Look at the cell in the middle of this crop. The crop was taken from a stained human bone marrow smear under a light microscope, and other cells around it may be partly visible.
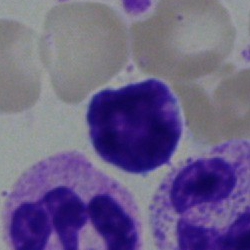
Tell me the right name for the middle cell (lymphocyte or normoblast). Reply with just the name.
lymphocyte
